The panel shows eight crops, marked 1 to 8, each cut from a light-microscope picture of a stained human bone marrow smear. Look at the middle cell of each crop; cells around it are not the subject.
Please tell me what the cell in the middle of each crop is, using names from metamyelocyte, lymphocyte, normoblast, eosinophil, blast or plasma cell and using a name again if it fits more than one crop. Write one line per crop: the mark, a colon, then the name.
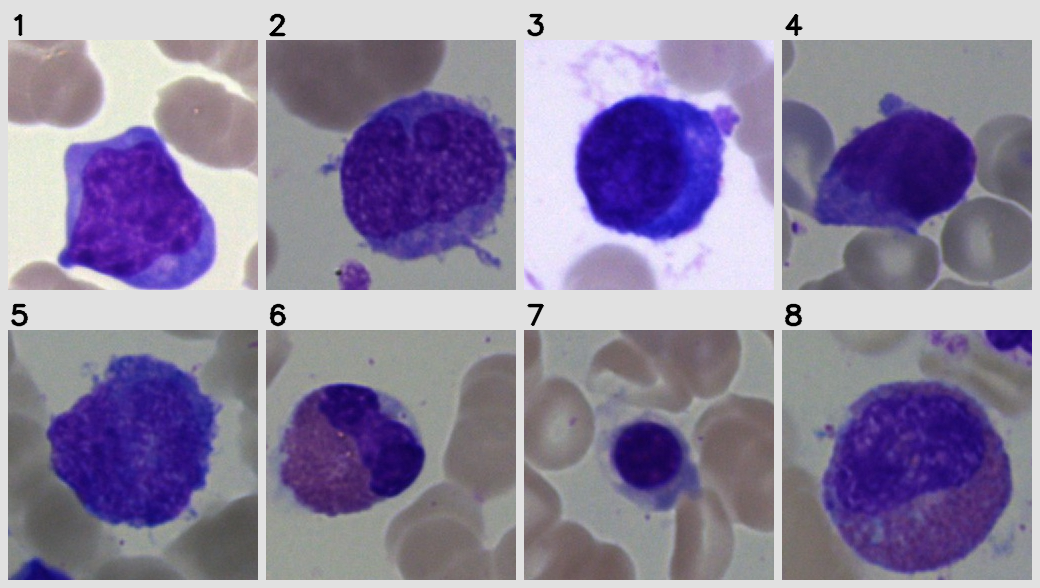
1: blast
2: blast
3: plasma cell
4: blast
5: blast
6: eosinophil
7: normoblast
8: eosinophil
